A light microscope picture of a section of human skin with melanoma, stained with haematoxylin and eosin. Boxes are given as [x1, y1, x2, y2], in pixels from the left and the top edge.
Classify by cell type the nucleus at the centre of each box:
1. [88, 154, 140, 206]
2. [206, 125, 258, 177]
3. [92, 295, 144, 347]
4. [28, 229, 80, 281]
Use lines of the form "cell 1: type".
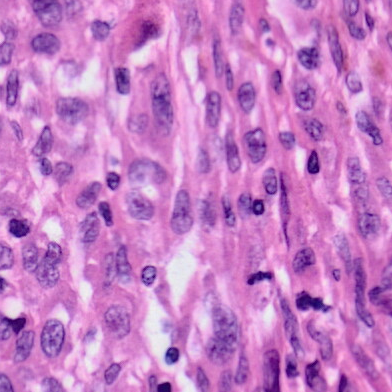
cell 1: lymphocyte
cell 2: melanoma cell
cell 3: melanoma cell
cell 4: melanoma cell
